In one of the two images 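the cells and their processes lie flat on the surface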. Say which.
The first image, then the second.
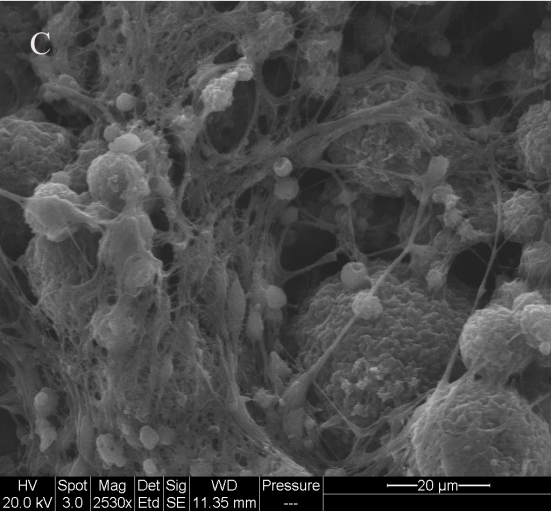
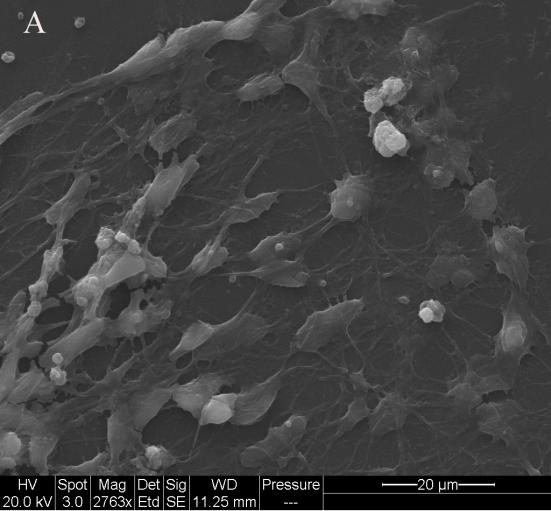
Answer: the second image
